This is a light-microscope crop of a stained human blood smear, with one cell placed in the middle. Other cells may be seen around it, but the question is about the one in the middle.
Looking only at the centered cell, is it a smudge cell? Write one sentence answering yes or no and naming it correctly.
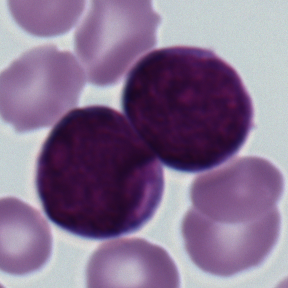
No, the cell occupying the centre is a myeloblast, not a smudge cell.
